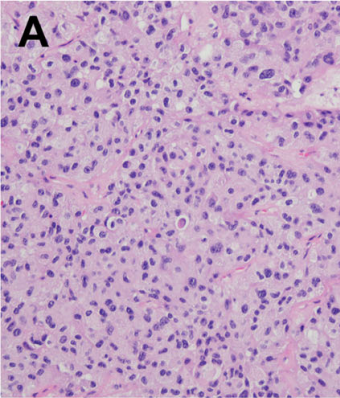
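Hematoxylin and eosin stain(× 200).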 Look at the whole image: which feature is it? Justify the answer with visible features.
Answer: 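Cells form broad cords and sheets. Thin pink fibrous strands run between groups of cells.
Hence: trabecular or diffuse pattern.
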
